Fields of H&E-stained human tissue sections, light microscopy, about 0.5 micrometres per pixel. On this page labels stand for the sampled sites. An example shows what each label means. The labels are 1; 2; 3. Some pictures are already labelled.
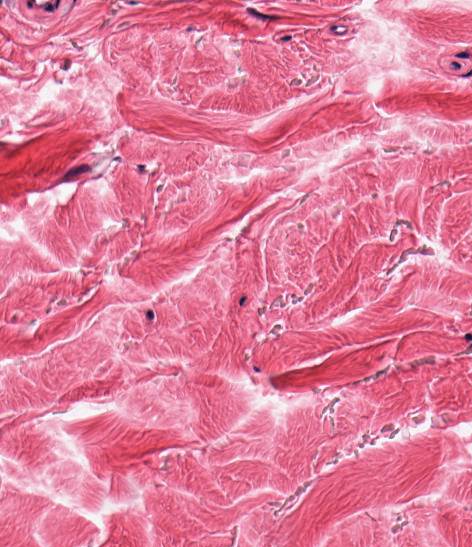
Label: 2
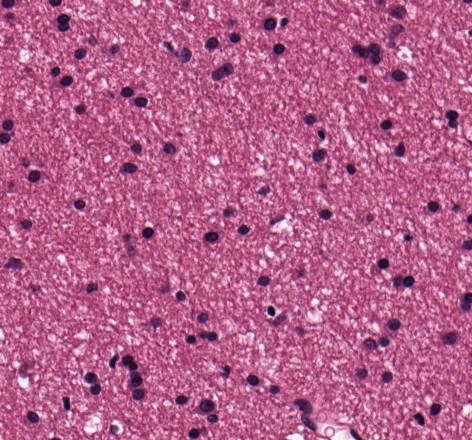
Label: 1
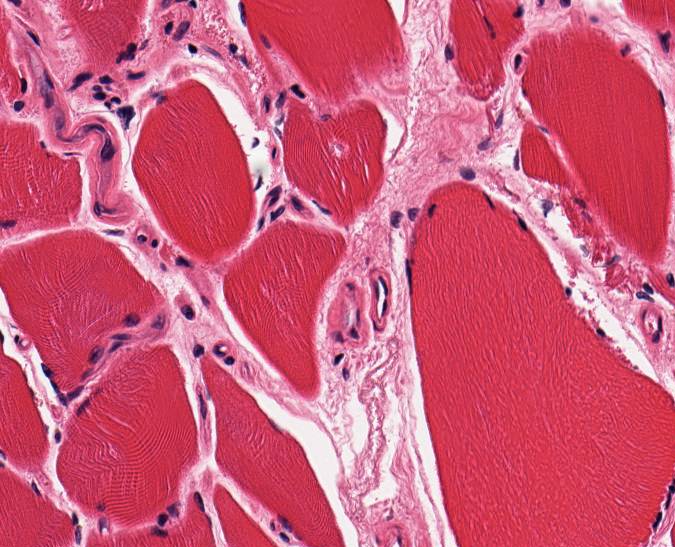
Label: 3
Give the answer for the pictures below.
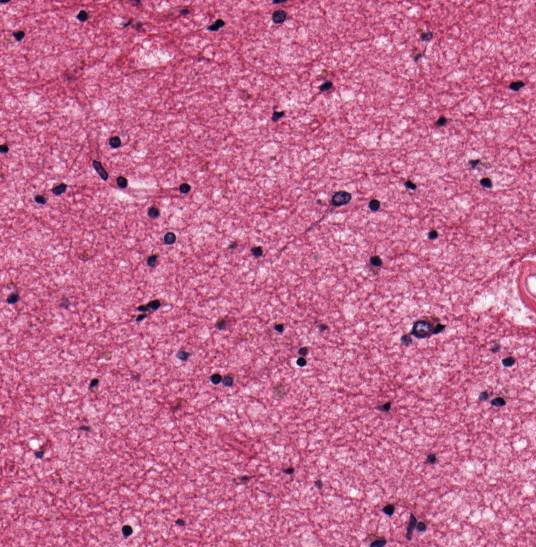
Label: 1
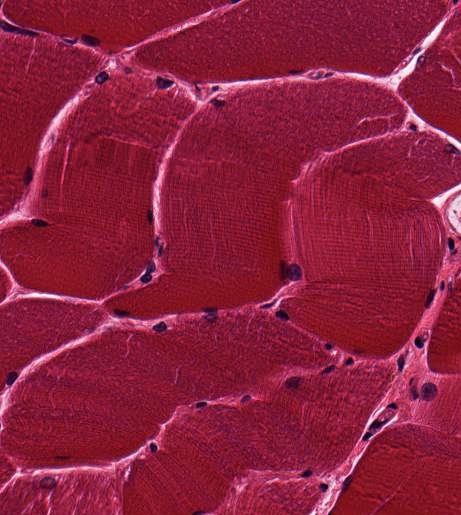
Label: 3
